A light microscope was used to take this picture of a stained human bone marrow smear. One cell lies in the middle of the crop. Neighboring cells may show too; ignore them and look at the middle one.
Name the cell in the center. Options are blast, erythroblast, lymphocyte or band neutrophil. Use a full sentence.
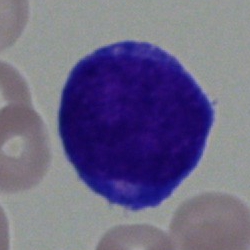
The cell at the middle of the frame should be recorded as a blast.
